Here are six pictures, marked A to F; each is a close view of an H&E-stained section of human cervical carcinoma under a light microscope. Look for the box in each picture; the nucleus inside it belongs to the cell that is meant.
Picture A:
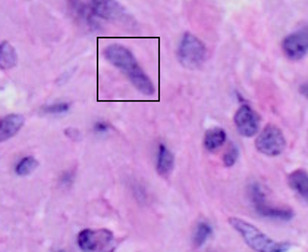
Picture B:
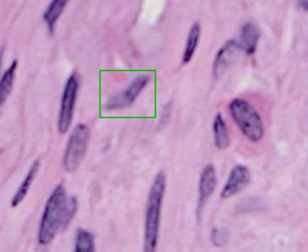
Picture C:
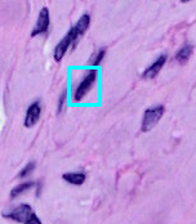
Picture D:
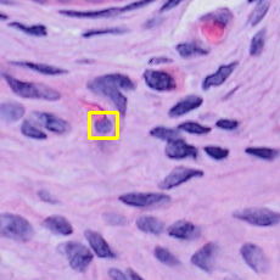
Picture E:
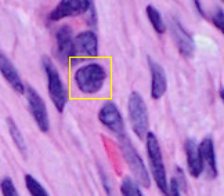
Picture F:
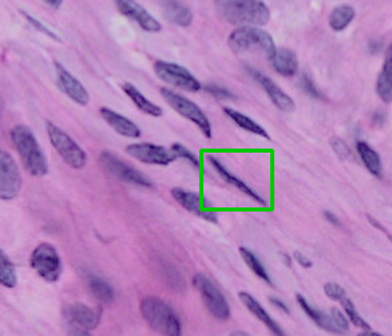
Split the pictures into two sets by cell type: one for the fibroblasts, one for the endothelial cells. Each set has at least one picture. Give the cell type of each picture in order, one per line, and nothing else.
fibroblast
fibroblast
fibroblast
endothelial cell
endothelial cell
fibroblast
